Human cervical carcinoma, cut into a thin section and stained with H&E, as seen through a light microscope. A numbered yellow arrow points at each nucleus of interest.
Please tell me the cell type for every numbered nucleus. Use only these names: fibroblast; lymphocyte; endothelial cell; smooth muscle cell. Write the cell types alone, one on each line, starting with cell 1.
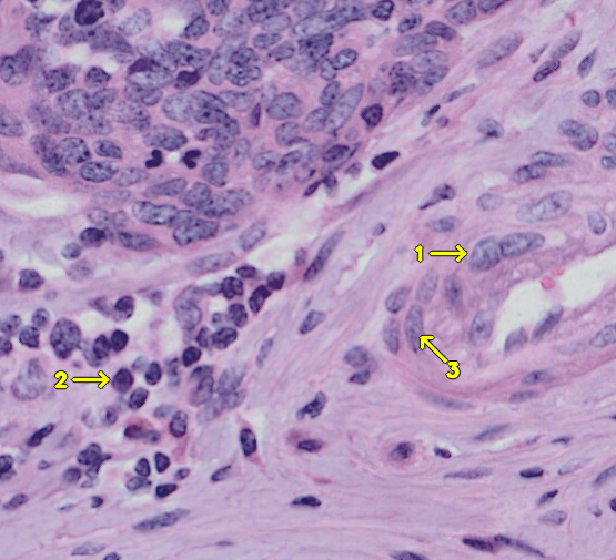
smooth muscle cell
lymphocyte
smooth muscle cell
